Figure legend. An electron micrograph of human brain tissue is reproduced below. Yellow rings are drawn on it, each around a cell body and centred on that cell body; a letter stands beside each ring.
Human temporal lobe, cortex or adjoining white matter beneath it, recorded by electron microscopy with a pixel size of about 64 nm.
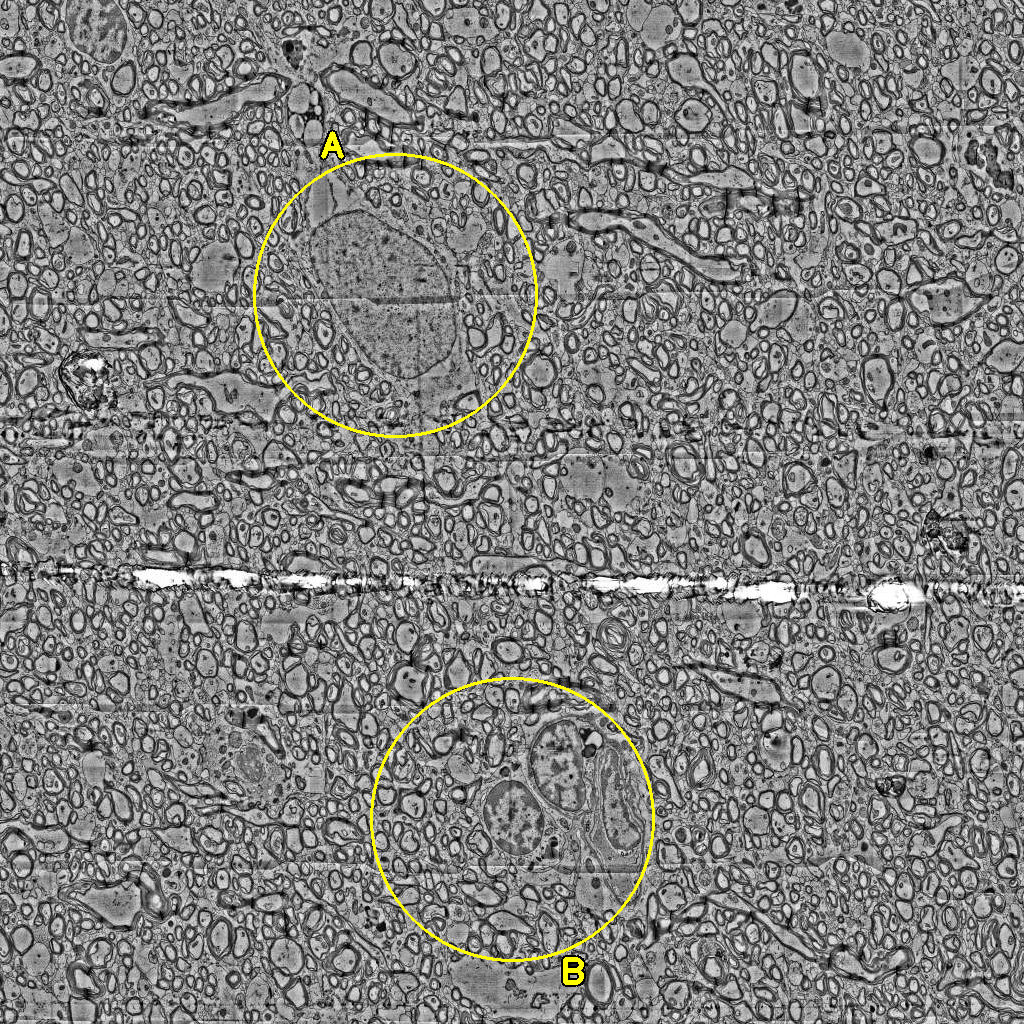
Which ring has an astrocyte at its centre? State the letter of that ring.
A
